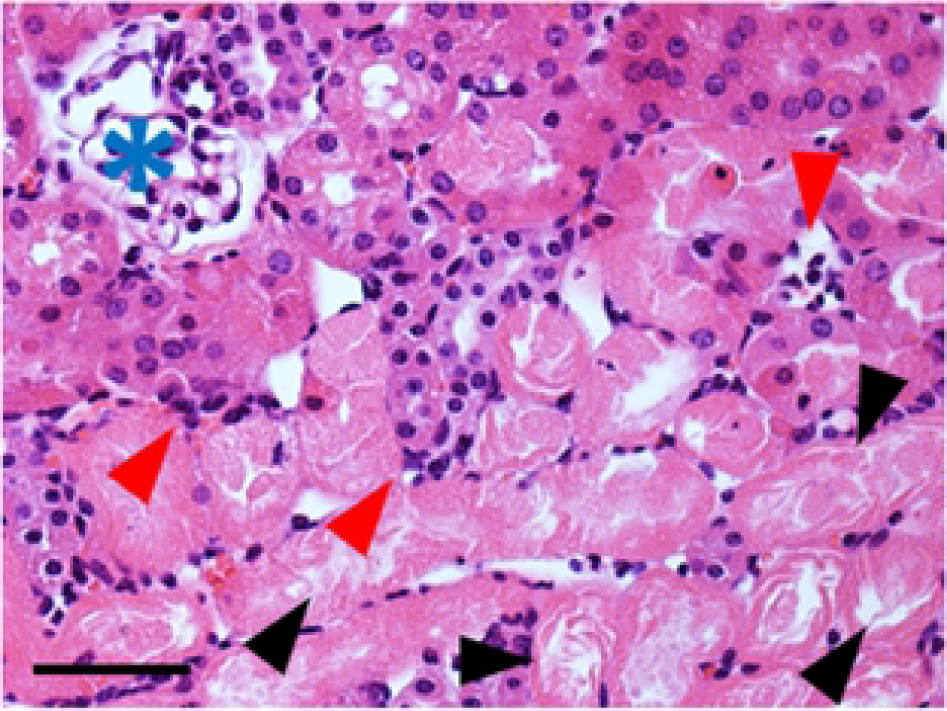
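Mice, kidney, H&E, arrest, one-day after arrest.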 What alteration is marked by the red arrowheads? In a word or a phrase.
Infiltrates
